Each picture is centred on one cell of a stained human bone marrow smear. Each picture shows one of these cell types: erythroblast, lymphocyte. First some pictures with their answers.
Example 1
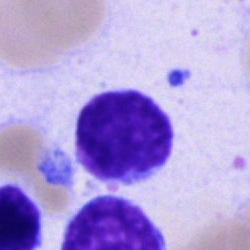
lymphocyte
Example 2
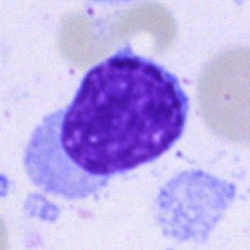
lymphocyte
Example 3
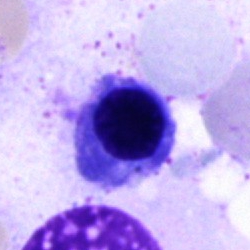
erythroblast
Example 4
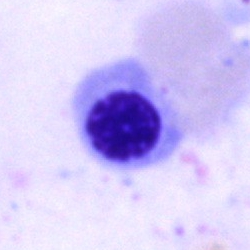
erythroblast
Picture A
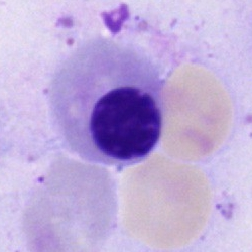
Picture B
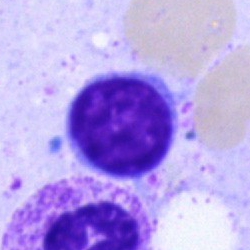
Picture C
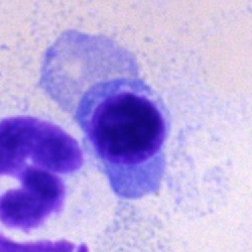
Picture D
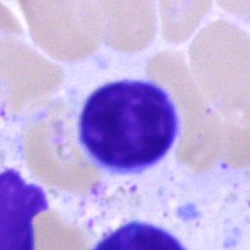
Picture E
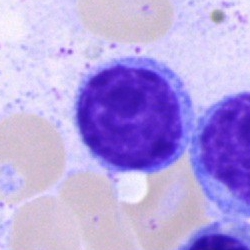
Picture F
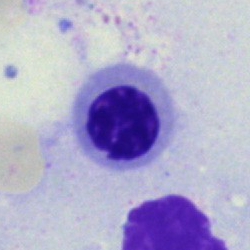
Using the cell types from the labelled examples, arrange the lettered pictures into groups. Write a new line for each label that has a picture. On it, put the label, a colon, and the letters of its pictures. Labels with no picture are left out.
erythroblast: A, C, F
lymphocyte: B, D, E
